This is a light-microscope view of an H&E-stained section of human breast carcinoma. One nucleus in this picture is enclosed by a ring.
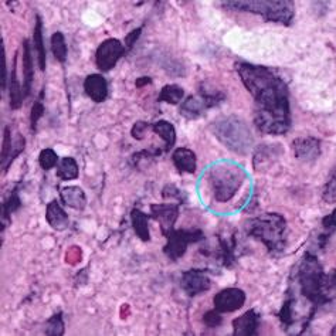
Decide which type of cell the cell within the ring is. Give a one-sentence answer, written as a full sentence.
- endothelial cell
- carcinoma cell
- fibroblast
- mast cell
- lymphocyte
In this tissue sample, the cell within the ring is a carcinoma cell.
